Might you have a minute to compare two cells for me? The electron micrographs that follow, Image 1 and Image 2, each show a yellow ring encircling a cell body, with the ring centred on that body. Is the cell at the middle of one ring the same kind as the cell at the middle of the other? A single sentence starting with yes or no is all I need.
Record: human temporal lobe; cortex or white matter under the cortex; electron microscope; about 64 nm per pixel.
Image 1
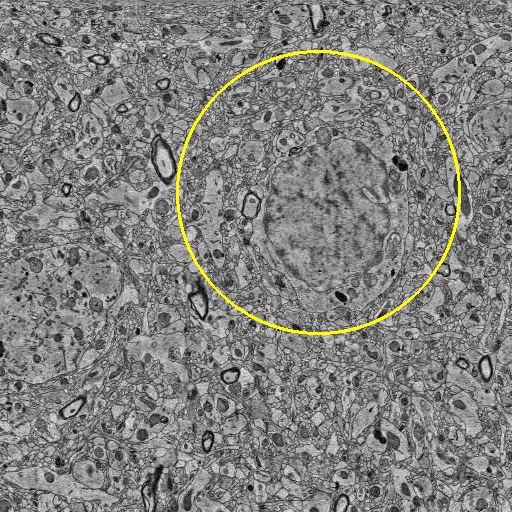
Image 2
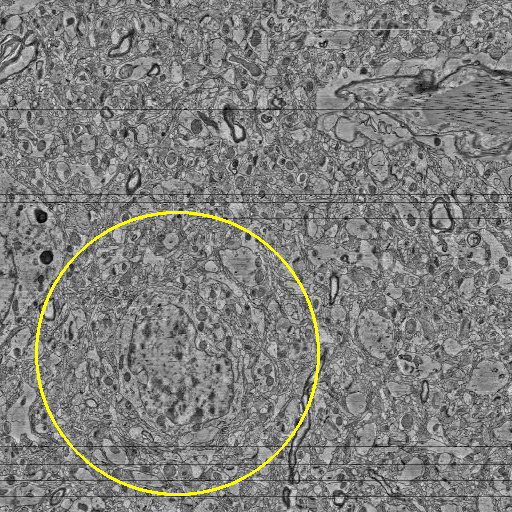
Yes, the cells in the middle of the two rings are of one shared kind.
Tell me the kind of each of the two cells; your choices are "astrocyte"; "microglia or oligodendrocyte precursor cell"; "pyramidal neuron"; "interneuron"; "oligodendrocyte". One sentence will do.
The second cell is an interneuron, just as the first is.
